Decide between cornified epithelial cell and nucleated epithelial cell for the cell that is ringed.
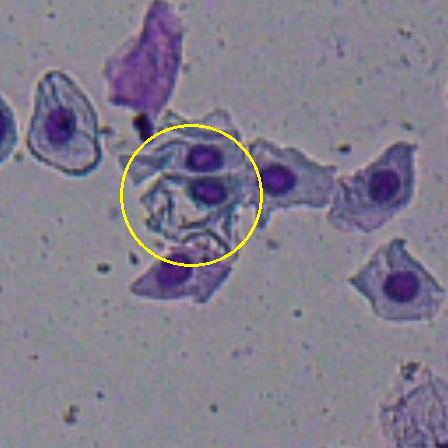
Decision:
I take the ringed cell for a nucleated epithelial cell.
